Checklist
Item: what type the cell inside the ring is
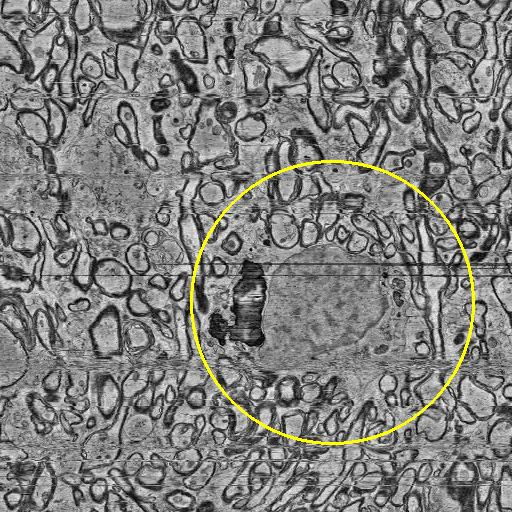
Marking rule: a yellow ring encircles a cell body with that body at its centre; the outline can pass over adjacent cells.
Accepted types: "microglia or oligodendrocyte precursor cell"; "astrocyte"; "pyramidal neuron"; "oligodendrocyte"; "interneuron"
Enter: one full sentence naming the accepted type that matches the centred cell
The entry is that an oligodendrocyte lies at the centre of the yellow ring.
